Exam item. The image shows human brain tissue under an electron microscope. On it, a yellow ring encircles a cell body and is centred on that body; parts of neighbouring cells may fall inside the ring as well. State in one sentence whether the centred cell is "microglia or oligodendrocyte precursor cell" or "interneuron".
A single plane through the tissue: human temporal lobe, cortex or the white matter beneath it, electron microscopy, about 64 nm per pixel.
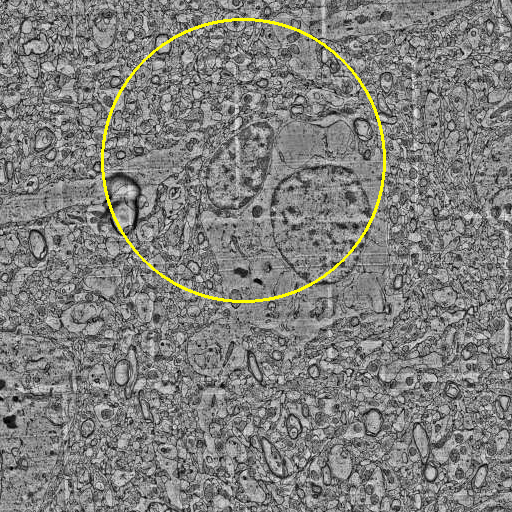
The cell body centred in the ring is a microglial cell or oligodendrocyte precursor cell.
